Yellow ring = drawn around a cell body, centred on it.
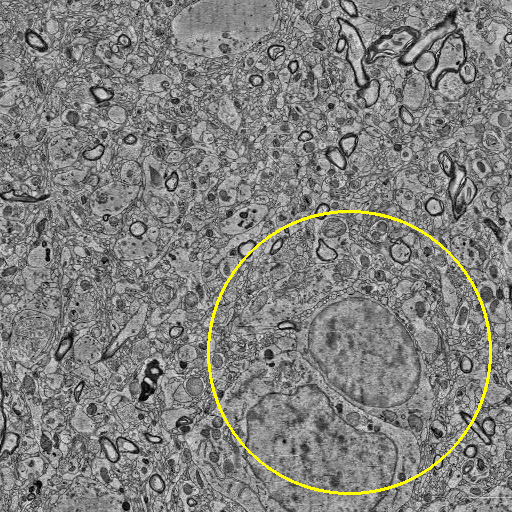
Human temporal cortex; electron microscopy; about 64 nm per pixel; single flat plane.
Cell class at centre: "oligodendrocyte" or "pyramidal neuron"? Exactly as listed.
oligodendrocyte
